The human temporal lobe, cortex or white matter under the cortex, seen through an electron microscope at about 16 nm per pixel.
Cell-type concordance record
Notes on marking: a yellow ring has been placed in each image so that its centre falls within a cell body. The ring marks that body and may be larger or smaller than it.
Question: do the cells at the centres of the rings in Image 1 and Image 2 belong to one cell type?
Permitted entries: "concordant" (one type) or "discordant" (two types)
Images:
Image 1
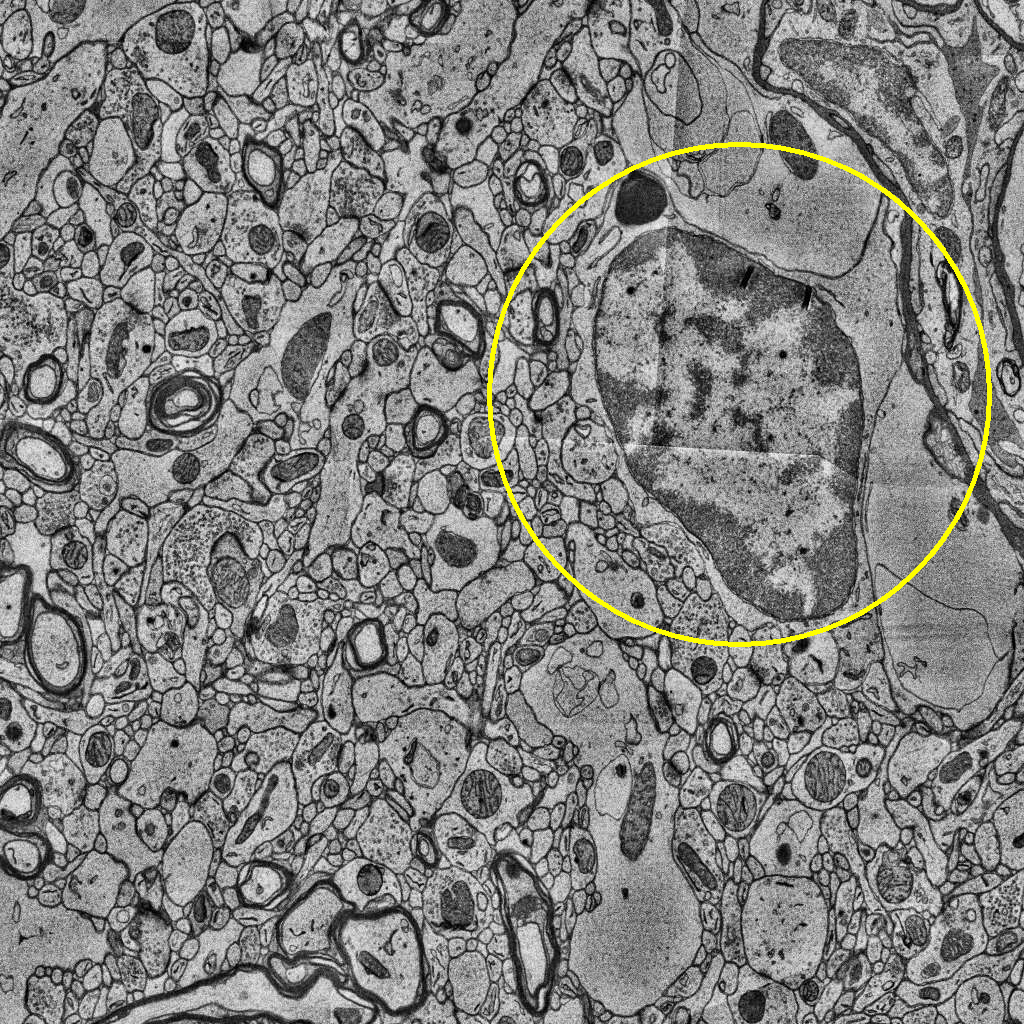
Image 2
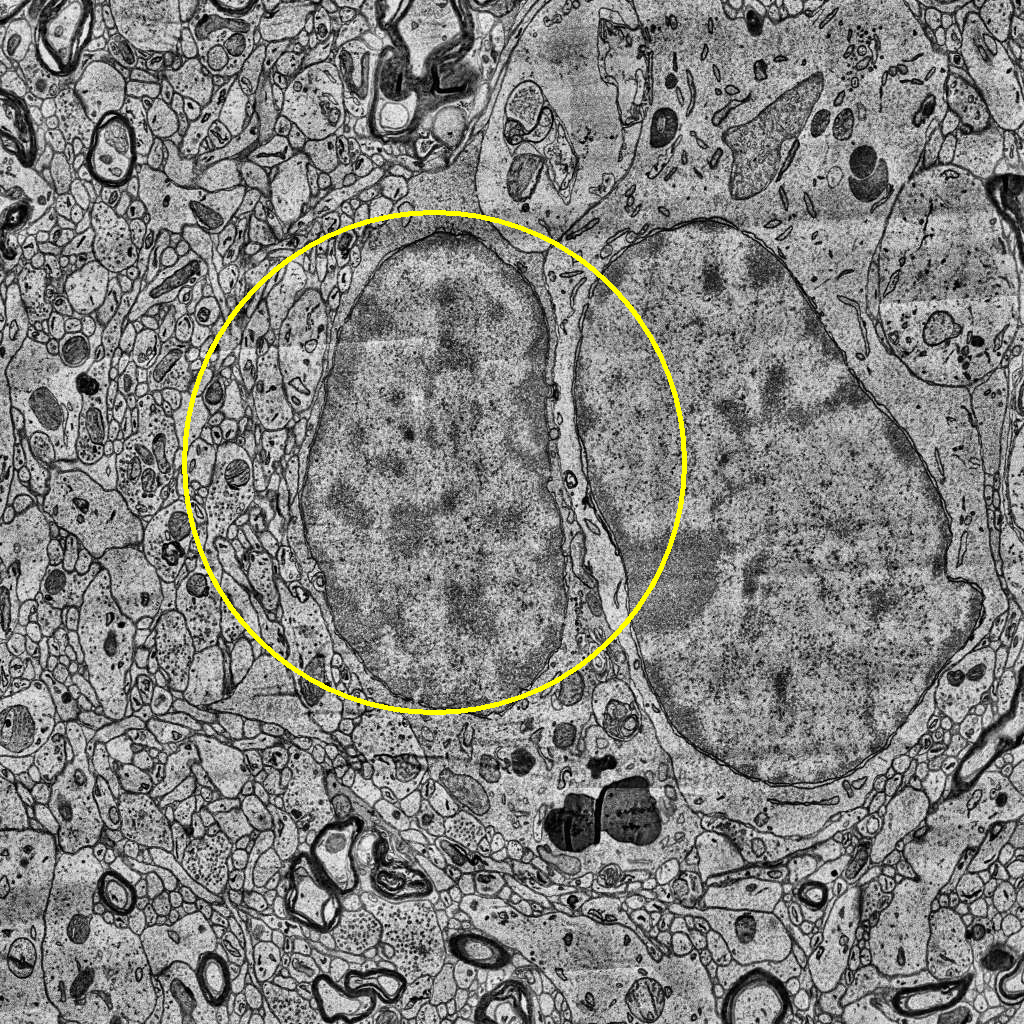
discordant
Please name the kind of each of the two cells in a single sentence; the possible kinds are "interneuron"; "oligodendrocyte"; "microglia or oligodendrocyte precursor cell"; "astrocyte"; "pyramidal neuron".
At the centre of the first ring sits a microglial cell or oligodendrocyte precursor cell, and at the centre of the second sits an oligodendrocyte.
